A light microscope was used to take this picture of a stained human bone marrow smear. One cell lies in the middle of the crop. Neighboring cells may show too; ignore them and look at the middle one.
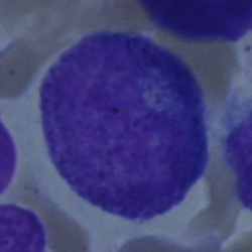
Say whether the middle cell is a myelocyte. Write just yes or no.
no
